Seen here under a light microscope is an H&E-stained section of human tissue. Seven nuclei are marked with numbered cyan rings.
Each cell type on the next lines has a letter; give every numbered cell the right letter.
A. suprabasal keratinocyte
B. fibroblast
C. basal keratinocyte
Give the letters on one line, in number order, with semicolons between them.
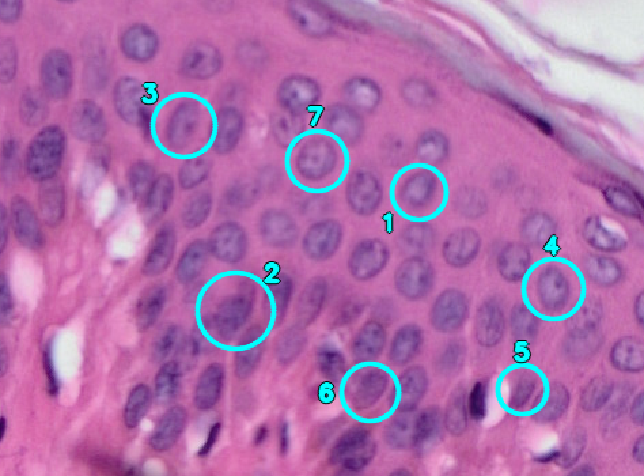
A; C; A; A; C; C; A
